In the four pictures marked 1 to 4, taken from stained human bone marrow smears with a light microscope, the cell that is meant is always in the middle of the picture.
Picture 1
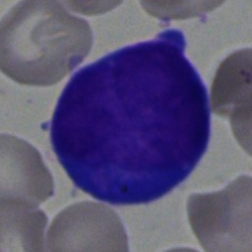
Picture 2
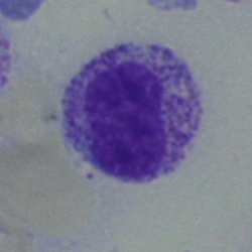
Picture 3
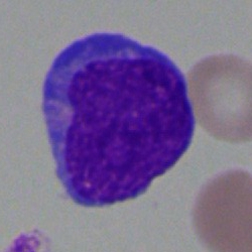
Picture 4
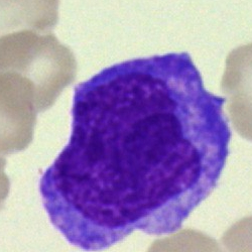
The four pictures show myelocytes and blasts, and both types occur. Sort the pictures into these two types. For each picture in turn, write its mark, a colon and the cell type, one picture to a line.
1: blast
2: myelocyte
3: blast
4: blast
